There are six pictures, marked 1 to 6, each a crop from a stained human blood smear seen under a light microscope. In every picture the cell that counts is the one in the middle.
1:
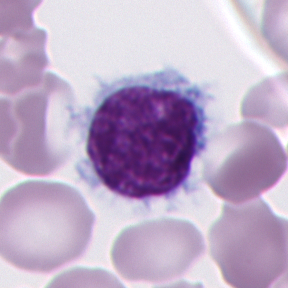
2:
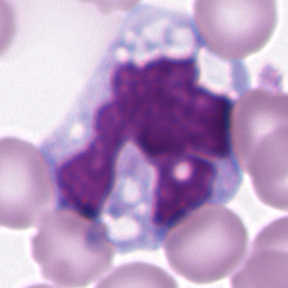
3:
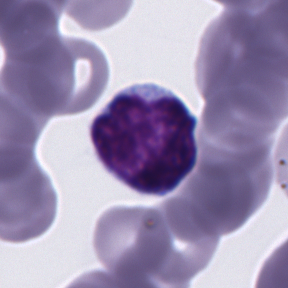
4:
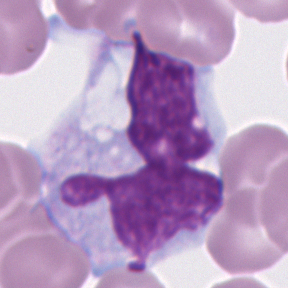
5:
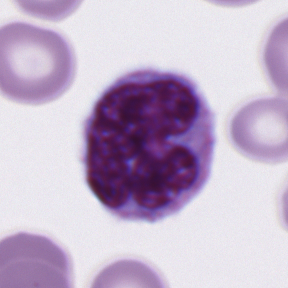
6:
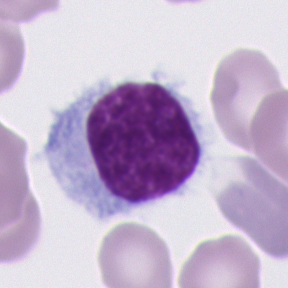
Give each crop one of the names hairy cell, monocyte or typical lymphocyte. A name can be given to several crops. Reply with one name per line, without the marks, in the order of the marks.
hairy cell
monocyte
typical lymphocyte
monocyte
monocyte
hairy cell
